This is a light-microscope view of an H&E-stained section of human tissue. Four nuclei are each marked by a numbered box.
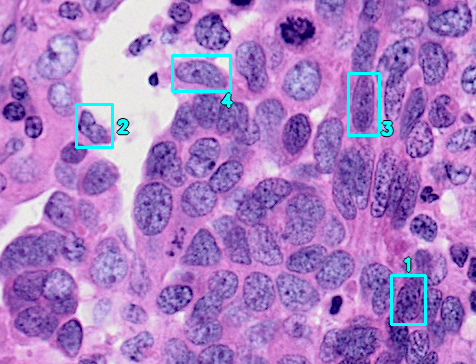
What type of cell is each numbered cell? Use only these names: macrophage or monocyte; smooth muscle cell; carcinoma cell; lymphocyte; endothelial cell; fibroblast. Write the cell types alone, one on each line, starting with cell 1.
carcinoma cell
macrophage or monocyte
carcinoma cell
carcinoma cell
